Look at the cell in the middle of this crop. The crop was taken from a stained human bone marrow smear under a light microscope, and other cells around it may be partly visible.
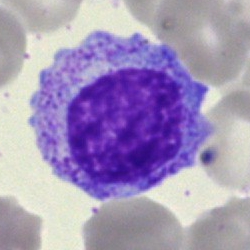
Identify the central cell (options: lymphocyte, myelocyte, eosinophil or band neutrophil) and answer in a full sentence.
The cell in the exact centre of the crop is a myelocyte.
